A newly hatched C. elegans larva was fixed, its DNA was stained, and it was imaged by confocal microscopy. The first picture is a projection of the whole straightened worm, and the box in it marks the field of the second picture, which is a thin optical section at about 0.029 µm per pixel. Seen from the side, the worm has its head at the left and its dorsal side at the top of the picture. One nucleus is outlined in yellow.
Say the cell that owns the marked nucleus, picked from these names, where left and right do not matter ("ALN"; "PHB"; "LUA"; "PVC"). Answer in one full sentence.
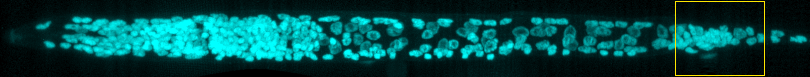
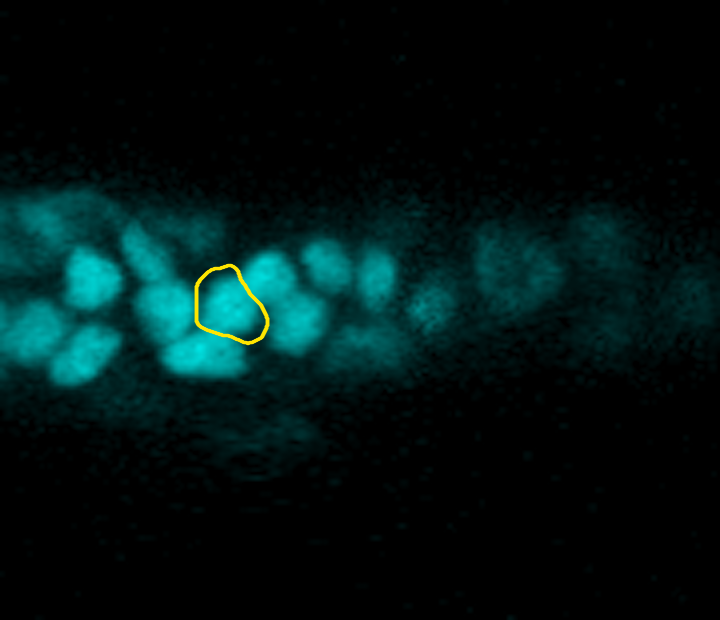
The marked cell is PHB, a neuron.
